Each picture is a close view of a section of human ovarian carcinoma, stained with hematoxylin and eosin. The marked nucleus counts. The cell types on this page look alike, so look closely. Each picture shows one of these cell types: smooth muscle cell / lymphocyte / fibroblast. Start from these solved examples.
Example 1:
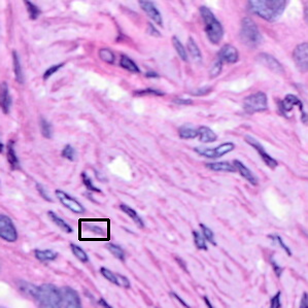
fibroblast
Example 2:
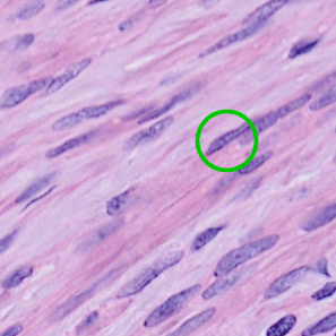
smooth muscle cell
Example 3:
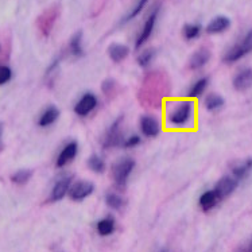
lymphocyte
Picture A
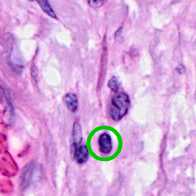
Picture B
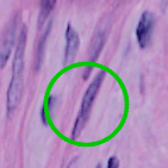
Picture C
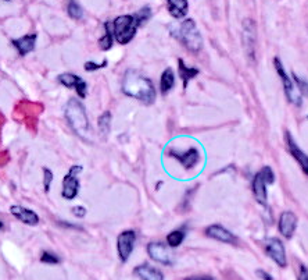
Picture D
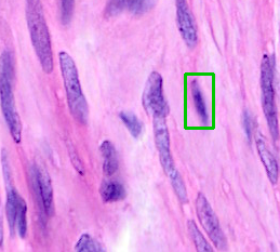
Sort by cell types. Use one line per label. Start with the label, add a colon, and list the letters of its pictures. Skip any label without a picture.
smooth muscle cell: B, D
lymphocyte: A
fibroblast: C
